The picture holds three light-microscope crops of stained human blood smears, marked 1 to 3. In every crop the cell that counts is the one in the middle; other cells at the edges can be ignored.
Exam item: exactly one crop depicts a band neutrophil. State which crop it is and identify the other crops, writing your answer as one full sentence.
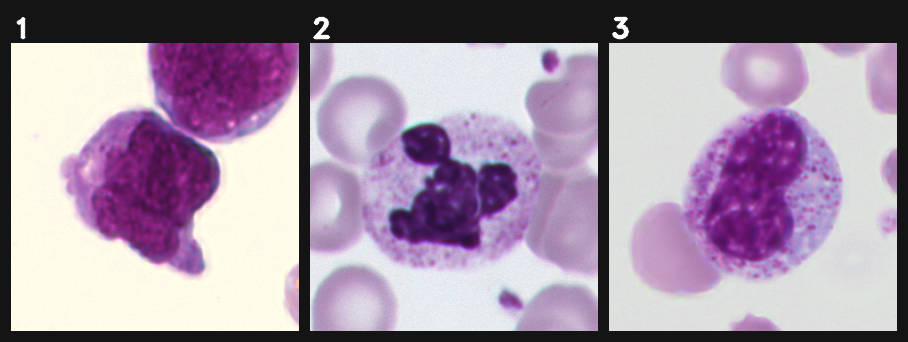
Crop 3 goes down as a band neutrophil, while crop 1 is an atypical promyelocyte and crop 2 is a segmented neutrophil.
